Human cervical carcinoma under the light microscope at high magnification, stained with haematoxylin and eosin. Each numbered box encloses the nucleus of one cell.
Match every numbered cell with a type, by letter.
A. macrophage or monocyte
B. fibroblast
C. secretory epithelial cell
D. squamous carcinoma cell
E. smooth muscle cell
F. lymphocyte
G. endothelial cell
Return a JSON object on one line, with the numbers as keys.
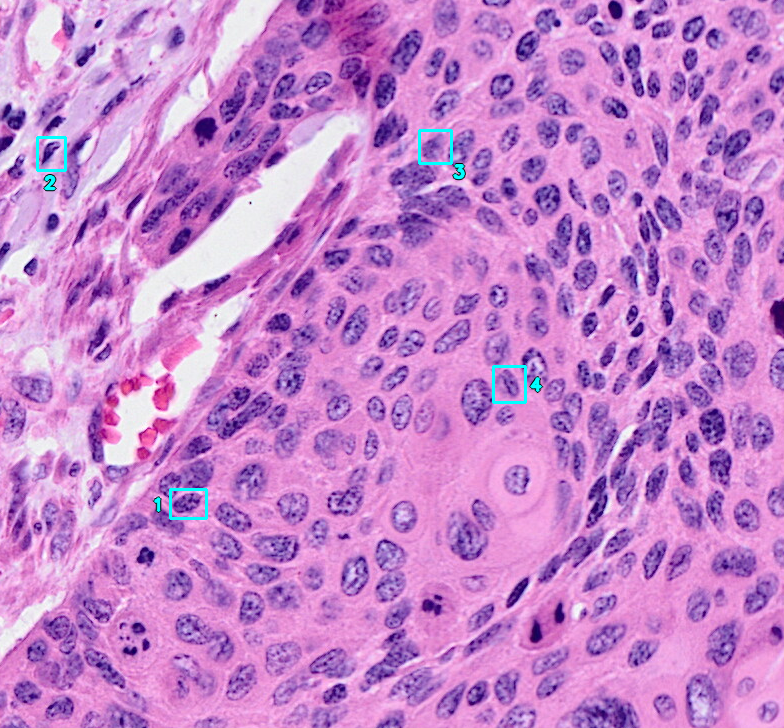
{"1": "D", "2": "F", "3": "D", "4": "D"}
